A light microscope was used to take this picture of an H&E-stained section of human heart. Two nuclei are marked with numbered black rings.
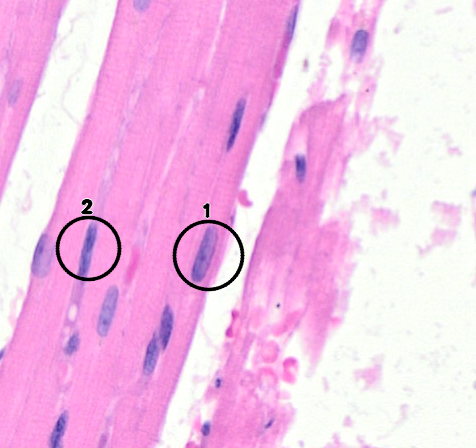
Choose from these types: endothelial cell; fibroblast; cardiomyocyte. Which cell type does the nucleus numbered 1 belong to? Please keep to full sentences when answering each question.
Regarding cell 1, this one is a cardiomyocyte.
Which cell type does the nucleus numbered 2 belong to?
Of the numbered cells, the one labelled 2 is an endothelial cell.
